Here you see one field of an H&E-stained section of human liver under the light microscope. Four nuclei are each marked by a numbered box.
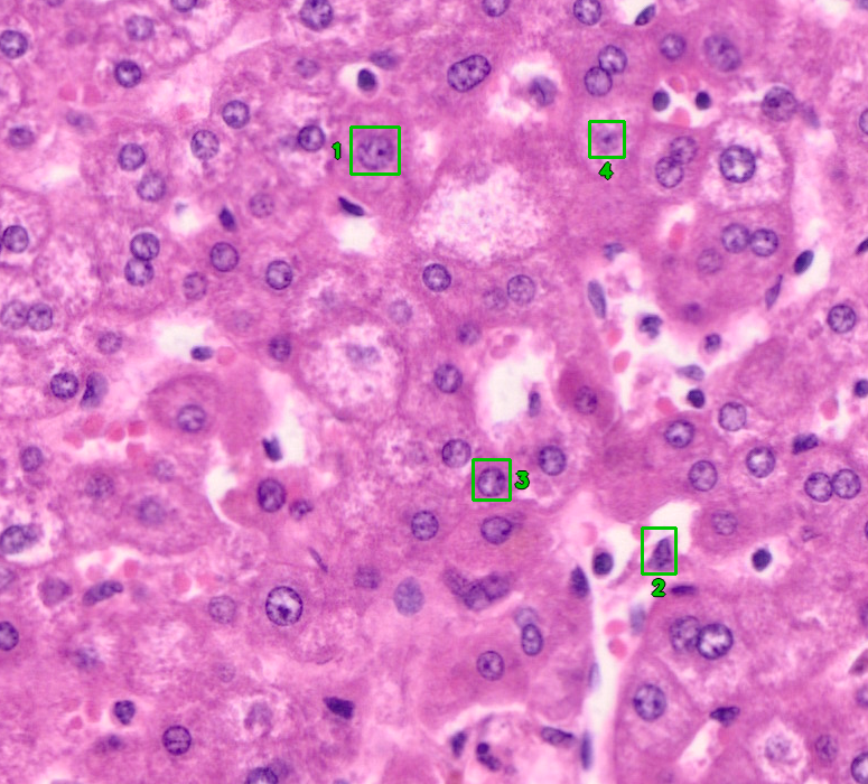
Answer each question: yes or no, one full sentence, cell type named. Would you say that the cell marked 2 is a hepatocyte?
No, the marked cell 2 is not a hepatocyte, being instead a Kupffer cell.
